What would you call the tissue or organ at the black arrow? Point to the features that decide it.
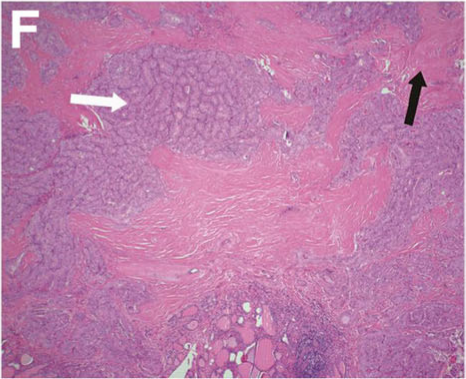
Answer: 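The black arrow points to broad pink, eosinophilic bands. The bands are fibrillar and wavy with few nuclei. The pink bands run between and separate the purple cellular nests. The answer: dense fibrous tissue.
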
